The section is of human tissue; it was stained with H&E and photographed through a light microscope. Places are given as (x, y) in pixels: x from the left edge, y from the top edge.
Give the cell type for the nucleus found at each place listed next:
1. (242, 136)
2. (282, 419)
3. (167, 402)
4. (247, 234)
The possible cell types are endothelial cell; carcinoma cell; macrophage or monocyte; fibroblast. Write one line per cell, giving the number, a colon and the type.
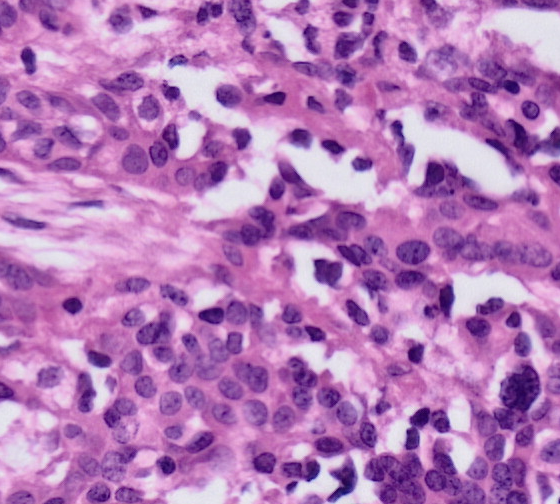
1: carcinoma cell
2: carcinoma cell
3: macrophage or monocyte
4: carcinoma cell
